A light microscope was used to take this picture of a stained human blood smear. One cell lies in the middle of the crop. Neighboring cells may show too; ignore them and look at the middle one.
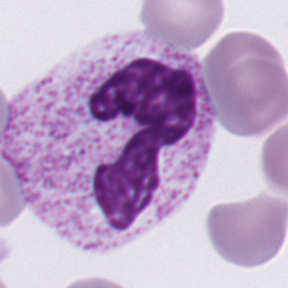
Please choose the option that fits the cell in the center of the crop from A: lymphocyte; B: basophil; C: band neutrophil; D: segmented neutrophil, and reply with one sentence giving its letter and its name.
Option D is accurate; the centrally placed cell is a segmented neutrophil.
